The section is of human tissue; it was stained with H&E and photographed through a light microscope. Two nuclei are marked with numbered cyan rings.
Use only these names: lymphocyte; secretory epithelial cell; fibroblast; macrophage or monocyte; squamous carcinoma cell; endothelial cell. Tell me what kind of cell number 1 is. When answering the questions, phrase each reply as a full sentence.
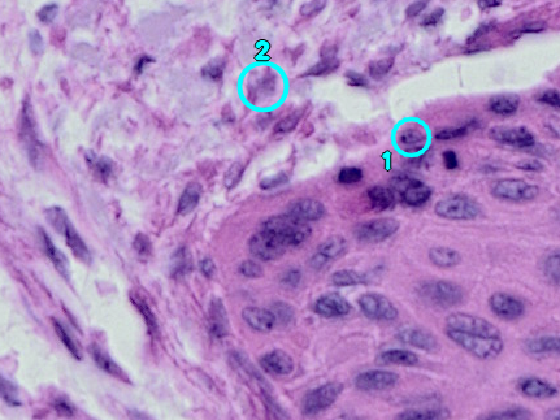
The one numbered 1 among the marked cells is a squamous carcinoma cell.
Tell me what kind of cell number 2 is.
The identity of cell 2 is that of a fibroblast.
